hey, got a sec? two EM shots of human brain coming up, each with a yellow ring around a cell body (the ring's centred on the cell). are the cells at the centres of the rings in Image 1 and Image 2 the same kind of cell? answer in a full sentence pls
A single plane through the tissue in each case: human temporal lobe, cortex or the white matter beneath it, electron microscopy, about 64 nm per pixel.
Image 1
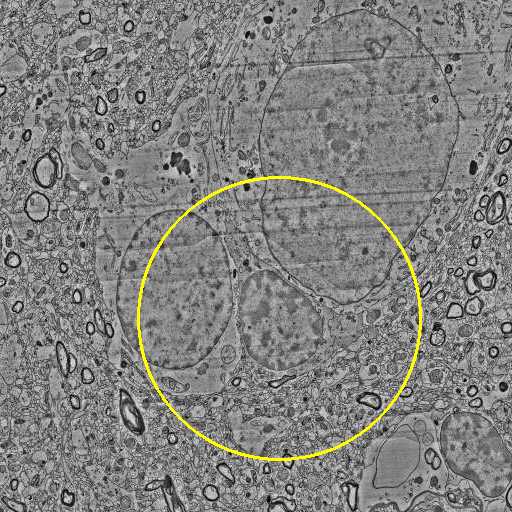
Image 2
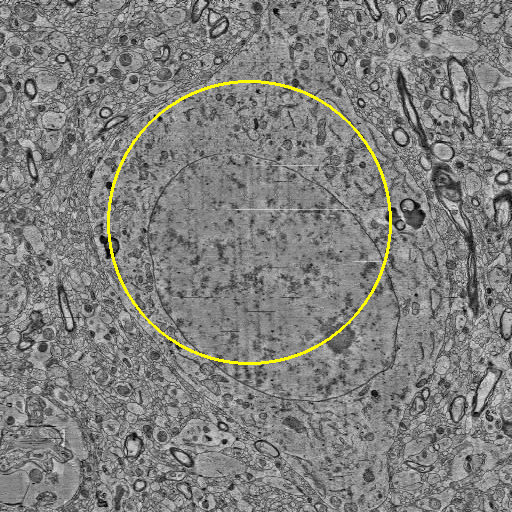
No, they are two kinds of cell.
